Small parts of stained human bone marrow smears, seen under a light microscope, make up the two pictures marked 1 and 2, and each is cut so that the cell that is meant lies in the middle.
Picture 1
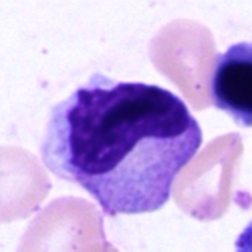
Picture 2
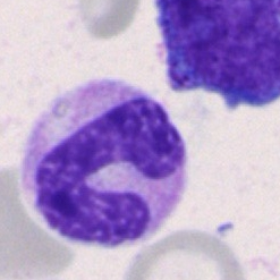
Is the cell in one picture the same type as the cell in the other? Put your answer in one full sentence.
Yes, the two pictures both show band neutrophils.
